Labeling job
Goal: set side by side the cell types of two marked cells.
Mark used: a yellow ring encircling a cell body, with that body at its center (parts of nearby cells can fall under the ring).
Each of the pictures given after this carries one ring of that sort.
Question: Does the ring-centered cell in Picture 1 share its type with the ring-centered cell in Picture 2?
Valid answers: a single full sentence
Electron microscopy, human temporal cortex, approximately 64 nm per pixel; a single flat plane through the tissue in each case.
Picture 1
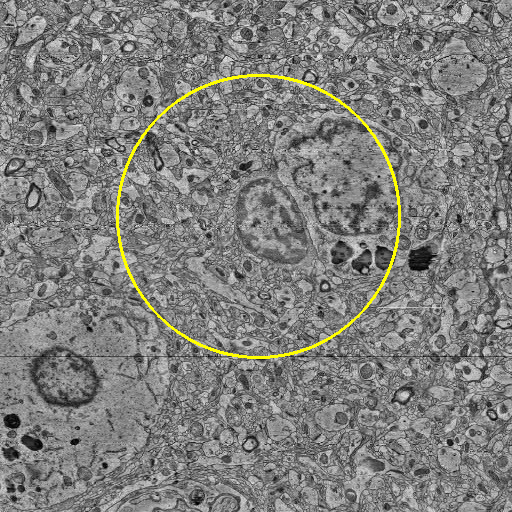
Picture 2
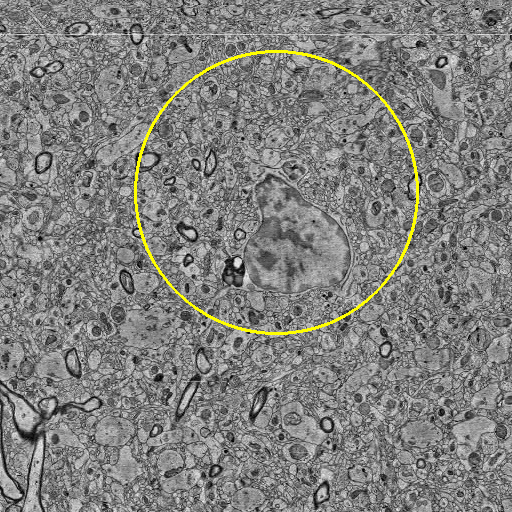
No, in Pictures 1 and 2 the cells at the ring centers have separate types.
